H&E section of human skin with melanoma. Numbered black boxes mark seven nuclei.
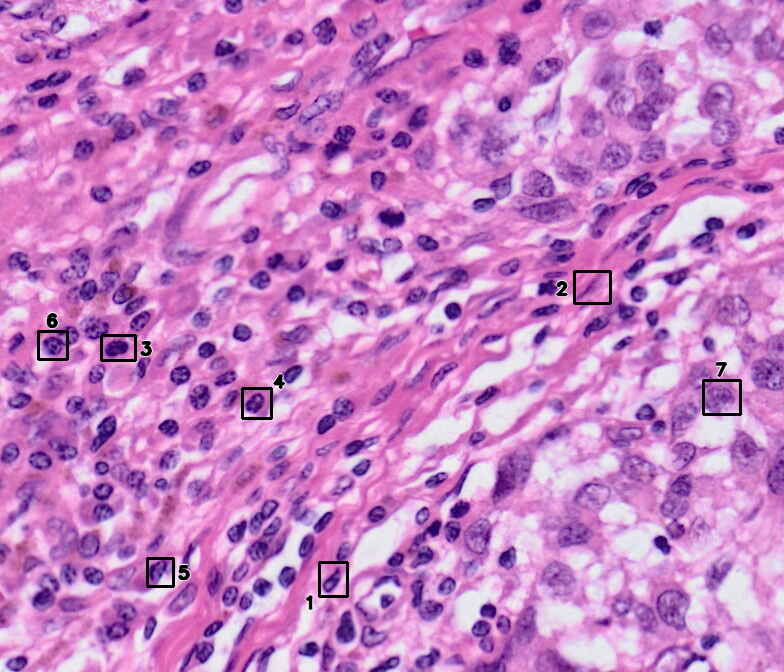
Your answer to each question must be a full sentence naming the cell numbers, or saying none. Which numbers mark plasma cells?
The cells numbered 3, 4, 5 and 6 fall into the category of plasma cells.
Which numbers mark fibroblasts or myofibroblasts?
Exactly one numbered cell is a fibroblast or myofibroblast, and that cell is number 2.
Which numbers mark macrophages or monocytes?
Classed by type, none of the numbered cells are macrophages or monocytes.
